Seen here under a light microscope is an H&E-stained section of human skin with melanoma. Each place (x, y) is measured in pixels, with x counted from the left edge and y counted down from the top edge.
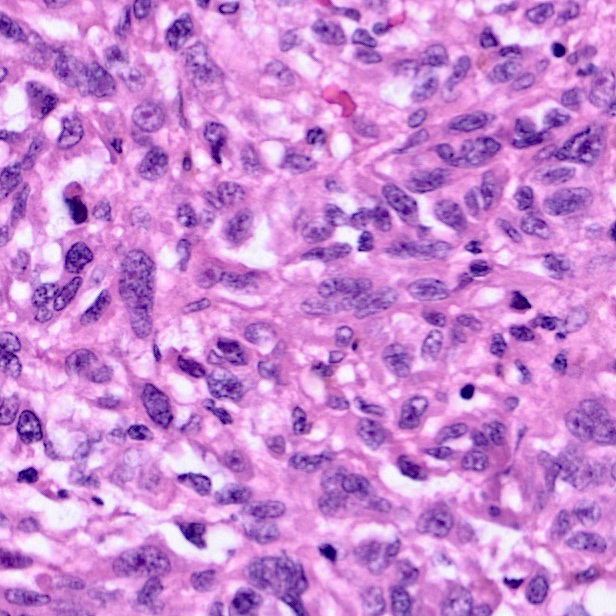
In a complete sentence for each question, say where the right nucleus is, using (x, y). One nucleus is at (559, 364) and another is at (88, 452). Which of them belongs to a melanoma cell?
Answering which nucleus it is: the one at (88, 452), belonging to a melanoma cell.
